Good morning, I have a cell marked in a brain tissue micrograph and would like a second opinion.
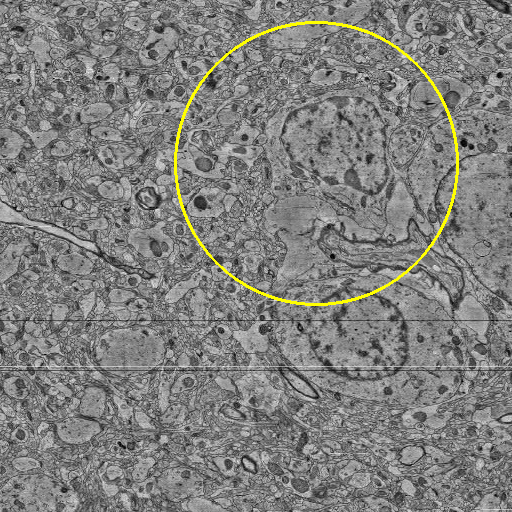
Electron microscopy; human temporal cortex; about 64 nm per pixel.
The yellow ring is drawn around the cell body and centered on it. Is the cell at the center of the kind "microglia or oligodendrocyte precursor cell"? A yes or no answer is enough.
yes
